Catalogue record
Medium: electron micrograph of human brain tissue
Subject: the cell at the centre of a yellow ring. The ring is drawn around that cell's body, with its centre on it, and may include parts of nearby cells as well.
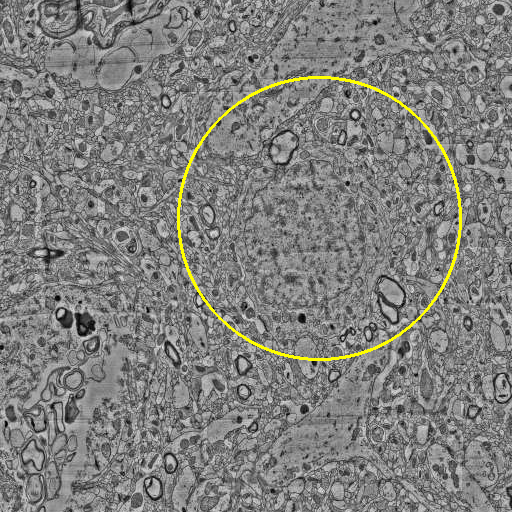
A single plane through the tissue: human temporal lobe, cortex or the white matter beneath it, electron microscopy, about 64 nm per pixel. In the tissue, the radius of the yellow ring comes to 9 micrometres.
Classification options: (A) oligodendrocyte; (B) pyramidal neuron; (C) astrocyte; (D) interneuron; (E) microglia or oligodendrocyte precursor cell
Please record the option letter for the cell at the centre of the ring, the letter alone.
D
